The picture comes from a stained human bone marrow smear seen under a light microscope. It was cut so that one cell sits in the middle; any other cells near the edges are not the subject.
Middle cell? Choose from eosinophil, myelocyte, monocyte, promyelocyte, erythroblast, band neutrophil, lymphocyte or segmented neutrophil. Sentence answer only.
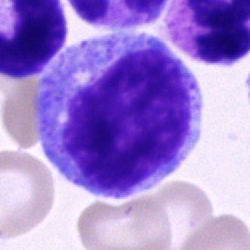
The central cell, amid any neighbouring cells, is a promyelocyte.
